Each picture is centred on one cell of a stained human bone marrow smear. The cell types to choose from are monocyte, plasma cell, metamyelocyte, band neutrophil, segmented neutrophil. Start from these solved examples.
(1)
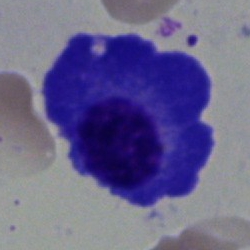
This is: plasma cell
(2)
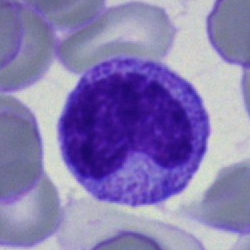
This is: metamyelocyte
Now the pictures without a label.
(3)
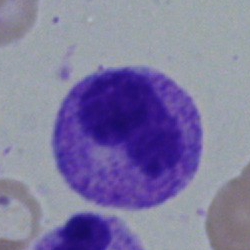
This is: metamyelocyte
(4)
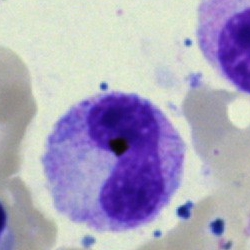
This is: band neutrophil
